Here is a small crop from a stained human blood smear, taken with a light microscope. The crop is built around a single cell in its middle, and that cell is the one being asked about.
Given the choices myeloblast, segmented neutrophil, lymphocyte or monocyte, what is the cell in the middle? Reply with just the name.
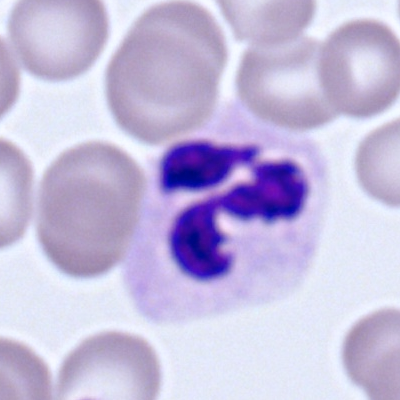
segmented neutrophil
